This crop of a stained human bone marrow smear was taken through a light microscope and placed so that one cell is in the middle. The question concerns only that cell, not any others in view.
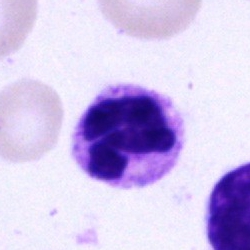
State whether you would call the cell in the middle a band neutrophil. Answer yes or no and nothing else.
no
